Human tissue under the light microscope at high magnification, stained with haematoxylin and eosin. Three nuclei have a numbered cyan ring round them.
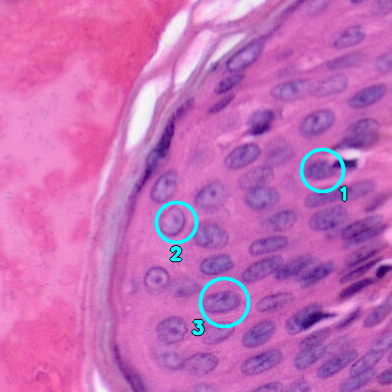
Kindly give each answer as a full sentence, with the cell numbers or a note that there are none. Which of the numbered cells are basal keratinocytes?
As for the numbered cells, only cell 1 is a basal keratinocyte.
